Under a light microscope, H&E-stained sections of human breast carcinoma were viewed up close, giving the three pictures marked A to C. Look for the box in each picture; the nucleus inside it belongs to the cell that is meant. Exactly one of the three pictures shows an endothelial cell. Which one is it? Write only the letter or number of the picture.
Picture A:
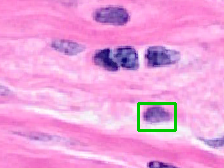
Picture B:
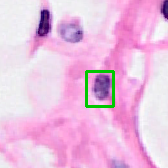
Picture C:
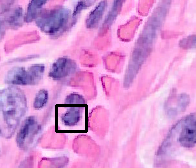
C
